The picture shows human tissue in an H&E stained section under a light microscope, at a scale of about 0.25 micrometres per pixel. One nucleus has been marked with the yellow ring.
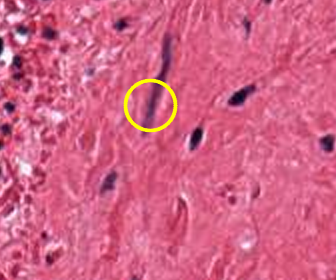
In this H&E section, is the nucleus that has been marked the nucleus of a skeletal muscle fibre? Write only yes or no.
no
